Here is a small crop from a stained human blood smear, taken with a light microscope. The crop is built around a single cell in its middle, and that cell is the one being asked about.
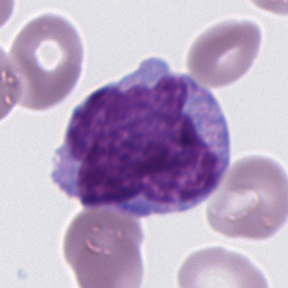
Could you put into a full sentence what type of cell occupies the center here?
What sits at the centre of this crop is an atypical promyelocyte.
